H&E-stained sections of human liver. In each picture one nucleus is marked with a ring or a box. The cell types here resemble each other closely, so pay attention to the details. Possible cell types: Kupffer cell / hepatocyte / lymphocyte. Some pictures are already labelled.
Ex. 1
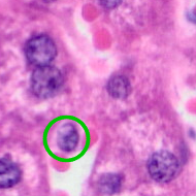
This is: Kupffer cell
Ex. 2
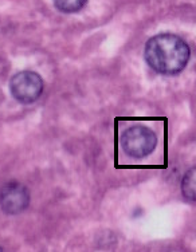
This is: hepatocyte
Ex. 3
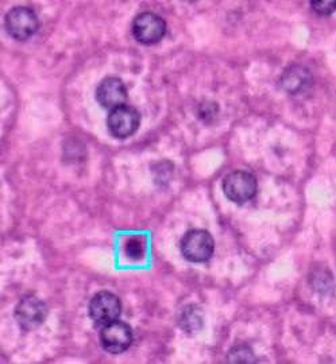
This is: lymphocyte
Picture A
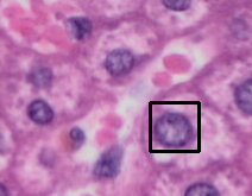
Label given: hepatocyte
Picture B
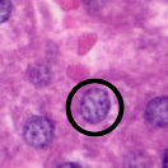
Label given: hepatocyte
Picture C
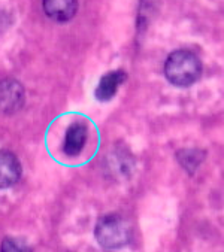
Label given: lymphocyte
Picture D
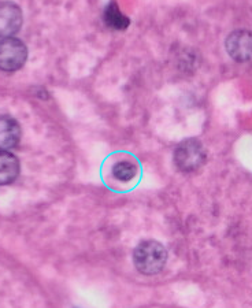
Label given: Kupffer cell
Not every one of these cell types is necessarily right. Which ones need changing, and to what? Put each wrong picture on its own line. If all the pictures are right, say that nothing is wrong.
D: change Kupffer cell to lymphocyte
